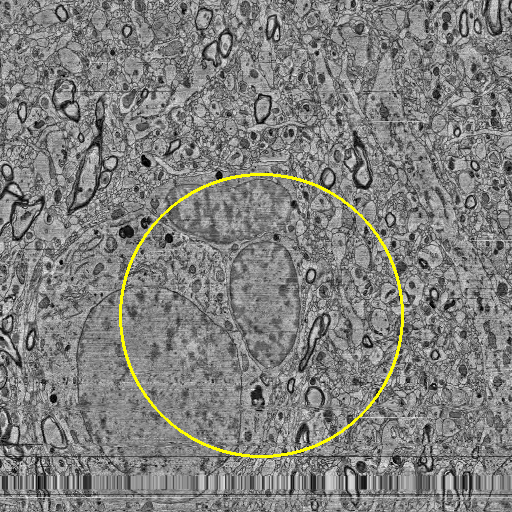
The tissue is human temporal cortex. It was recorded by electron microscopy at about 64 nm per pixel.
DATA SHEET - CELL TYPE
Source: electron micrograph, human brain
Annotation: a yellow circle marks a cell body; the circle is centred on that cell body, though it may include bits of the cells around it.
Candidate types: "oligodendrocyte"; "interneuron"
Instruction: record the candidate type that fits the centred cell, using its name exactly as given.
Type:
oligodendrocyte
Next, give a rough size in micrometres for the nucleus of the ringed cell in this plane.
In this plane, about 8 by 4 micrometres: the nucleus is clearly longer than it is wide.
